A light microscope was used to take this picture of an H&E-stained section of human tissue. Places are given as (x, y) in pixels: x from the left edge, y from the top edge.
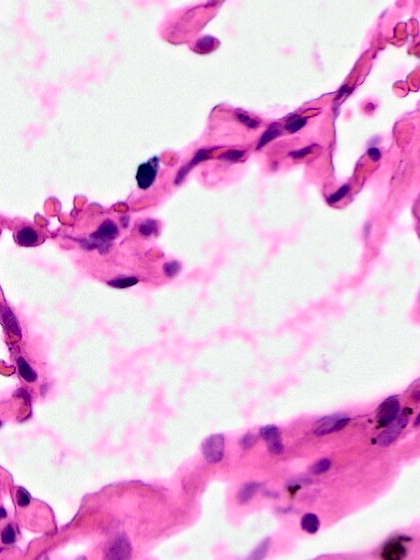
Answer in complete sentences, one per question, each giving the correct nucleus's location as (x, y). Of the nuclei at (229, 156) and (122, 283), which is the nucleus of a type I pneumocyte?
Of the two nuclei, it is the one at (122, 283) that lies within a type I pneumocyte.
